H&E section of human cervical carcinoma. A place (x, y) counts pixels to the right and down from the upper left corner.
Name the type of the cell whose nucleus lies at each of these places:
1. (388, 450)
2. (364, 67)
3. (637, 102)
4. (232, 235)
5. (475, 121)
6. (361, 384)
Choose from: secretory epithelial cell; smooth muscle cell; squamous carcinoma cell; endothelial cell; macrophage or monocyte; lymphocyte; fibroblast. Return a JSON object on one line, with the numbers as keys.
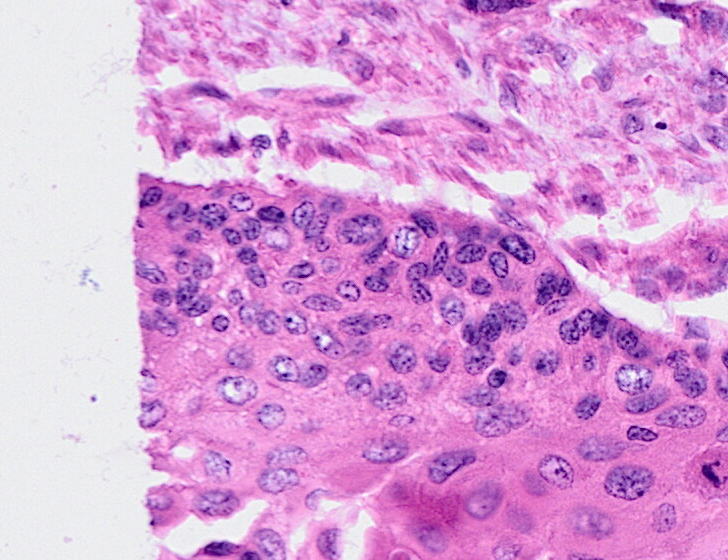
{"1": "squamous carcinoma cell", "2": "fibroblast", "3": "fibroblast", "4": "squamous carcinoma cell", "5": "fibroblast", "6": "squamous carcinoma cell"}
